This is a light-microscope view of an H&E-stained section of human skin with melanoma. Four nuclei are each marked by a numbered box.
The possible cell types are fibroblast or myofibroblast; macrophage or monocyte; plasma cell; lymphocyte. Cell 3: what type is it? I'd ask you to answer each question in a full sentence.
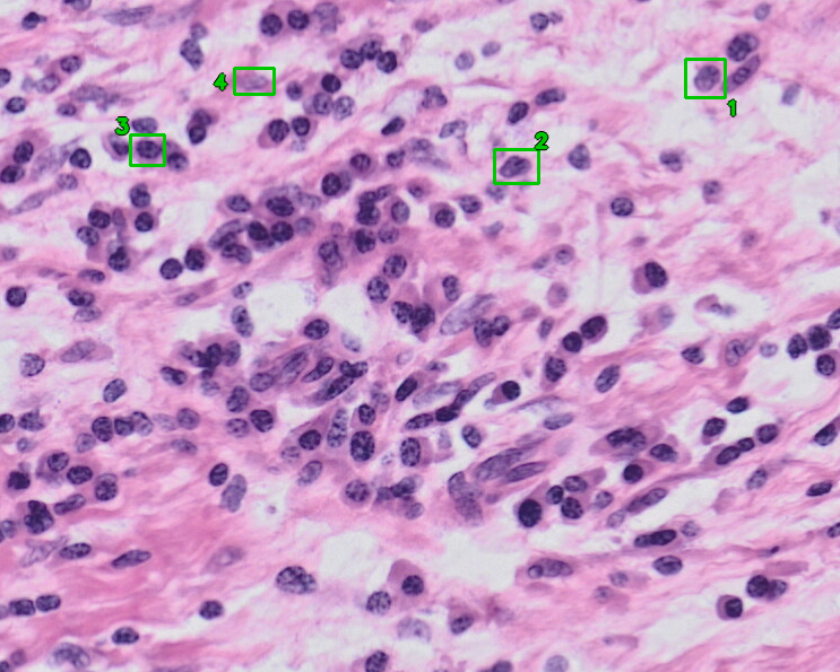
The nucleus labeled 3 belongs to a plasma cell.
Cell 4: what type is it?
The marked cell with the number 4 is recognised as a fibroblast or myofibroblast.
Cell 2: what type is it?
The cell bearing label 2 corresponds to a lymphocyte.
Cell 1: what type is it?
The cell marked with number 1 is a macrophage or monocyte.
